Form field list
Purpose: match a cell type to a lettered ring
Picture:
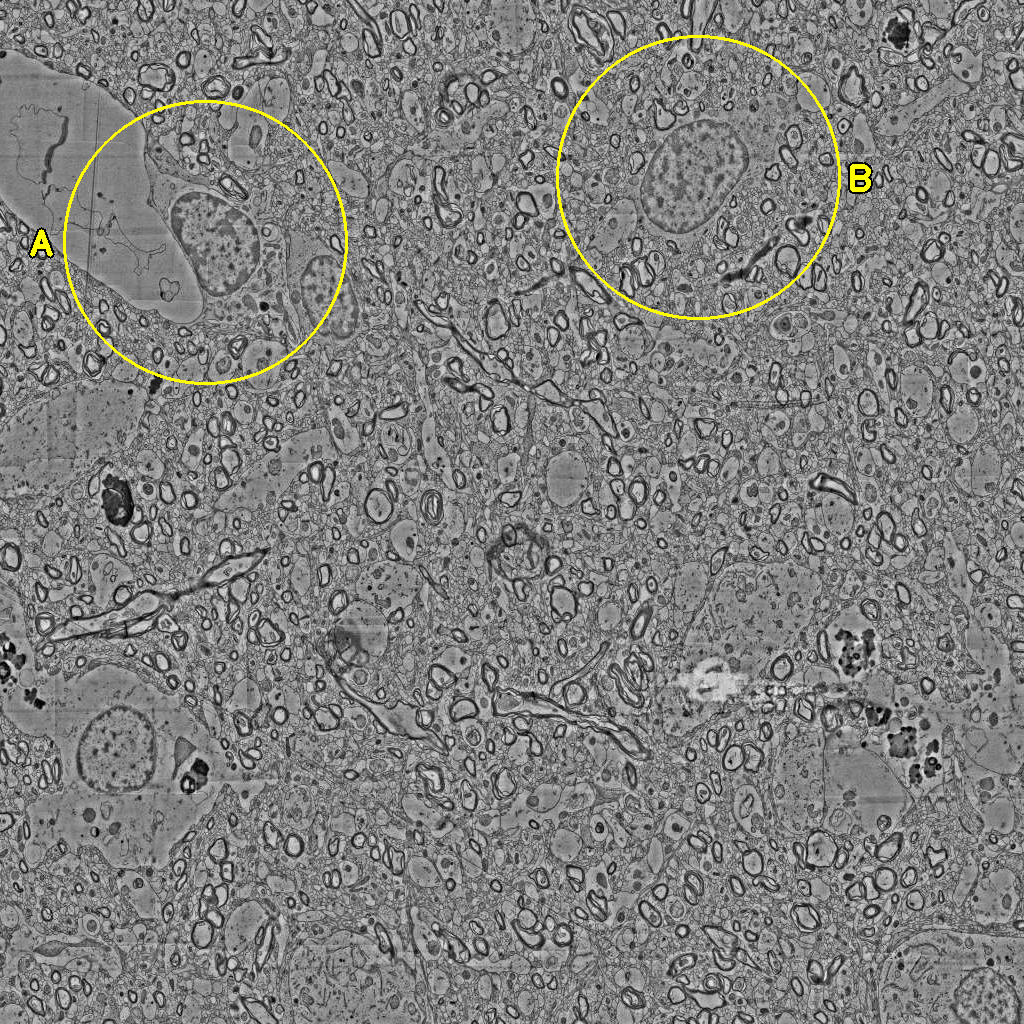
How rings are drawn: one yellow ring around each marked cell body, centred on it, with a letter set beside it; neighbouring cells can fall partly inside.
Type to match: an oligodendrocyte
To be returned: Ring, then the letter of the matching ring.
Ring B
